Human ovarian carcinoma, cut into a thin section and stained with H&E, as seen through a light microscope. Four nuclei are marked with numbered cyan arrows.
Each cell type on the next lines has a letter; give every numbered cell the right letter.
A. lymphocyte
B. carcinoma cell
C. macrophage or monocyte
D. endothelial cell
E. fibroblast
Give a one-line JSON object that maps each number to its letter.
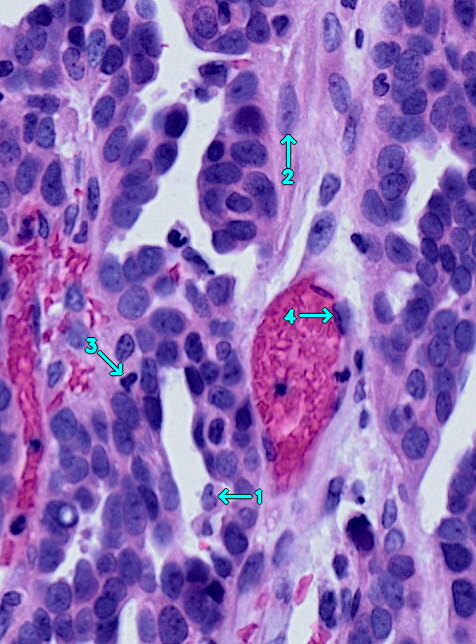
{"1": "C", "2": "E", "3": "A", "4": "D"}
